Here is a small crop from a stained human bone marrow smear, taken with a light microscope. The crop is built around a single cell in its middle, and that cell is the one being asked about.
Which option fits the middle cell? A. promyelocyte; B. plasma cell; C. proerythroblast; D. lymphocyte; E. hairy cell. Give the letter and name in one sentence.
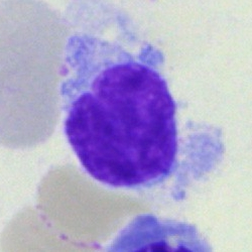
Here the right option is E, as the cell in the middle is a hairy cell.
